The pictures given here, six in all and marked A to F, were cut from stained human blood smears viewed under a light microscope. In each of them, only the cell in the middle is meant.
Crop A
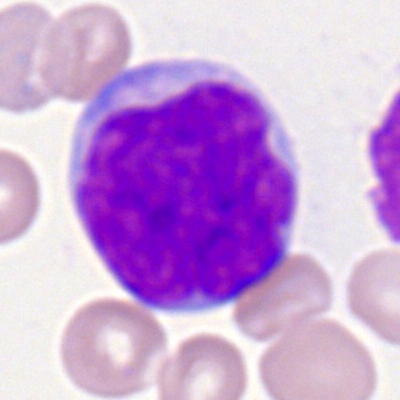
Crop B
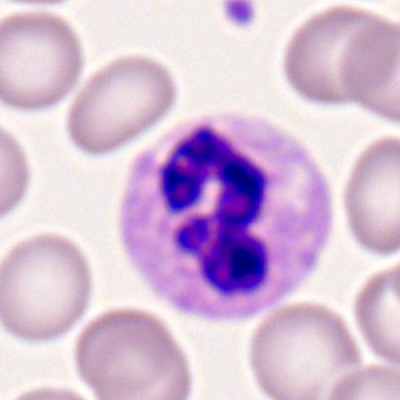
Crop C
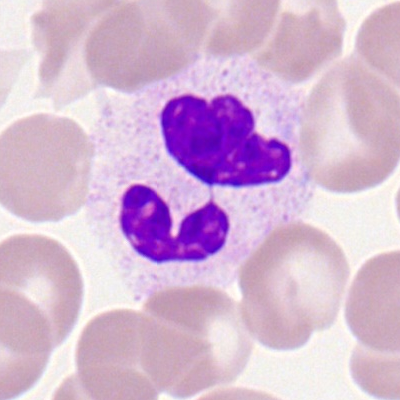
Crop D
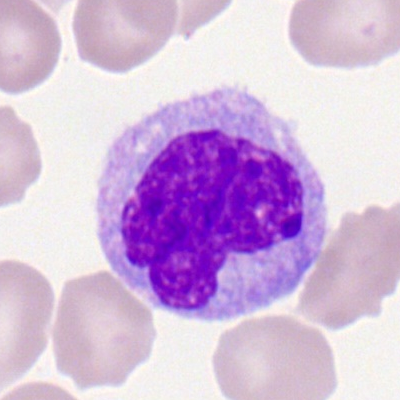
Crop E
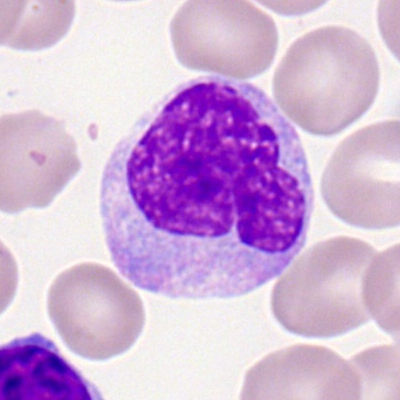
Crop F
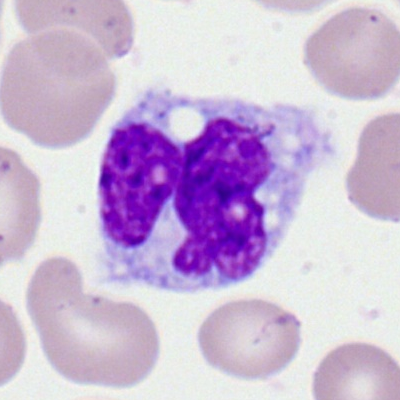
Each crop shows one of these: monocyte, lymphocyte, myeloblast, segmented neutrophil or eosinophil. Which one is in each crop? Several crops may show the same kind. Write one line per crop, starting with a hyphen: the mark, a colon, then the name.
- A: myeloblast
- B: segmented neutrophil
- C: segmented neutrophil
- D: monocyte
- E: monocyte
- F: monocyte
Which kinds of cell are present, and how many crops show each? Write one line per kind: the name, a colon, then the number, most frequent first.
monocyte: 3
segmented neutrophil: 2
myeloblast: 1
